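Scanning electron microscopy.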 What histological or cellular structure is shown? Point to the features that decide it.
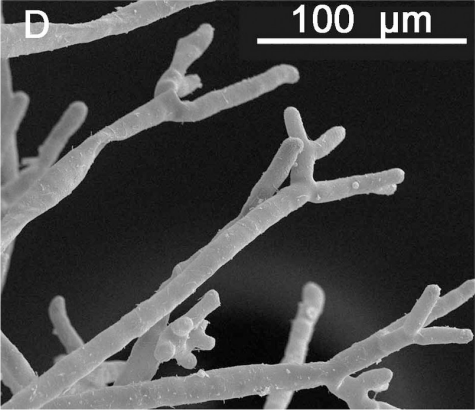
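Tubular filaments end in short side branches. Several tips split into two or three short blunt lobes.
Hence: the branched edges of root hairs.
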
